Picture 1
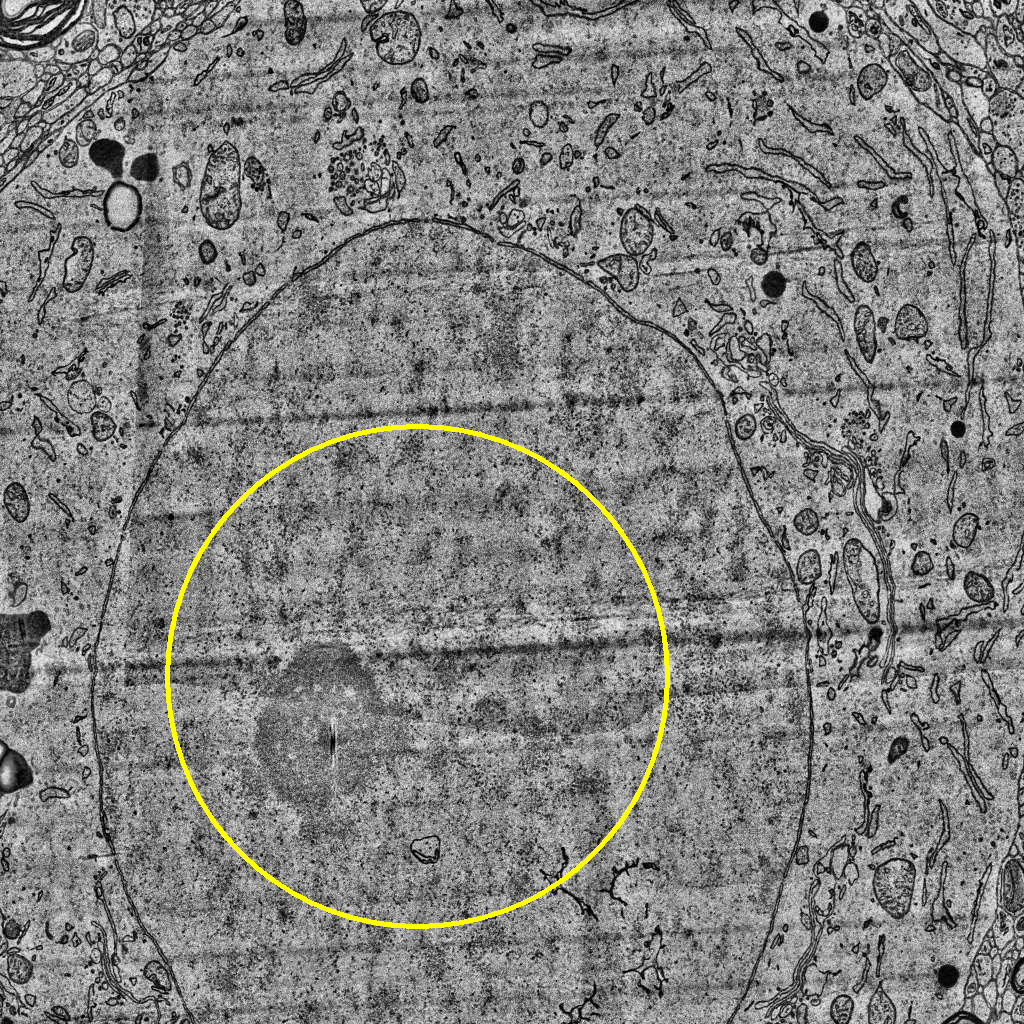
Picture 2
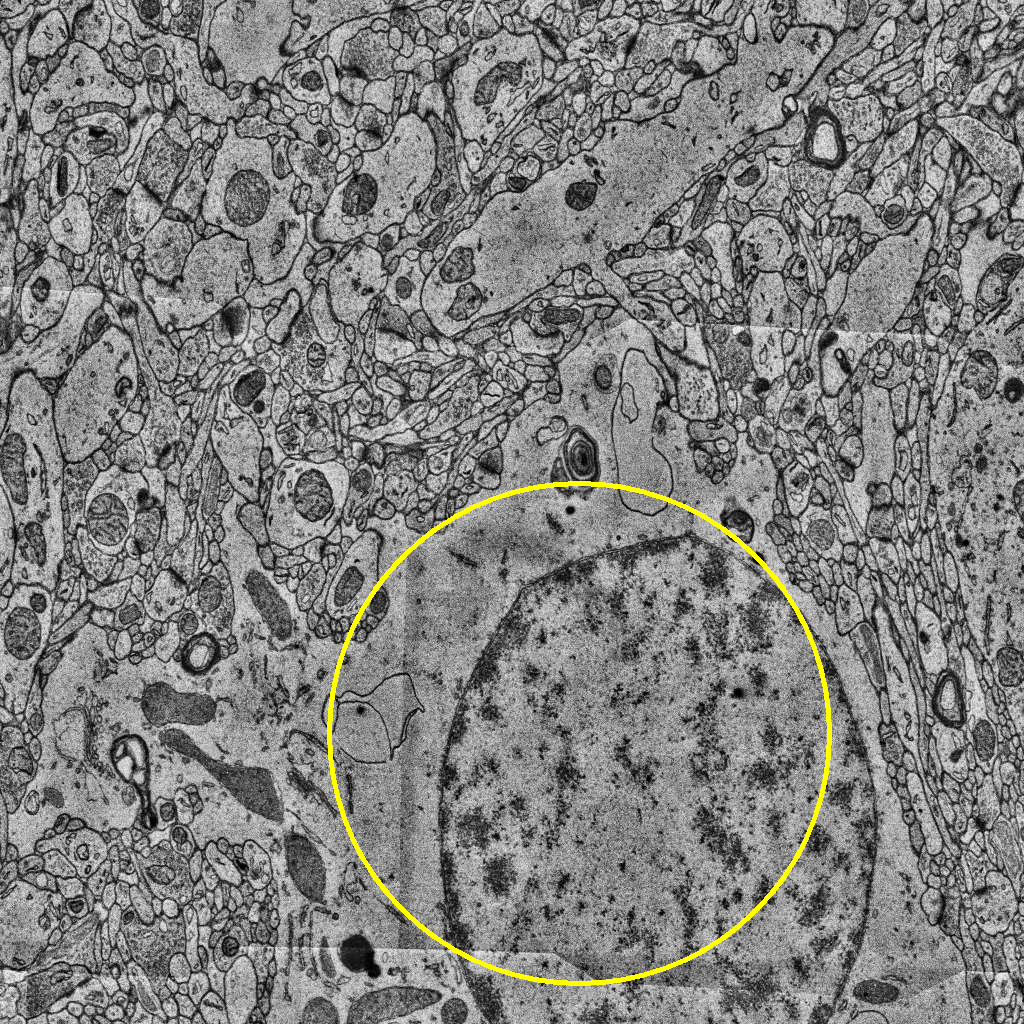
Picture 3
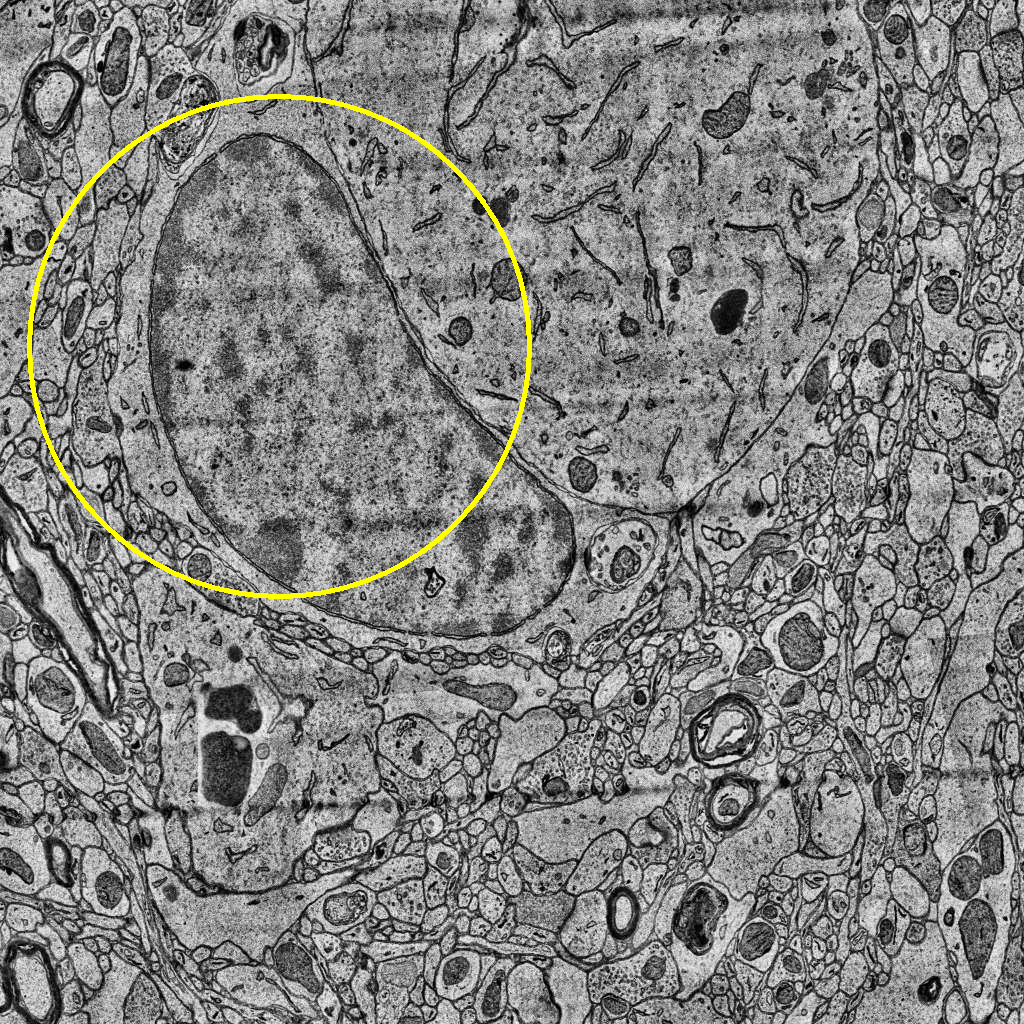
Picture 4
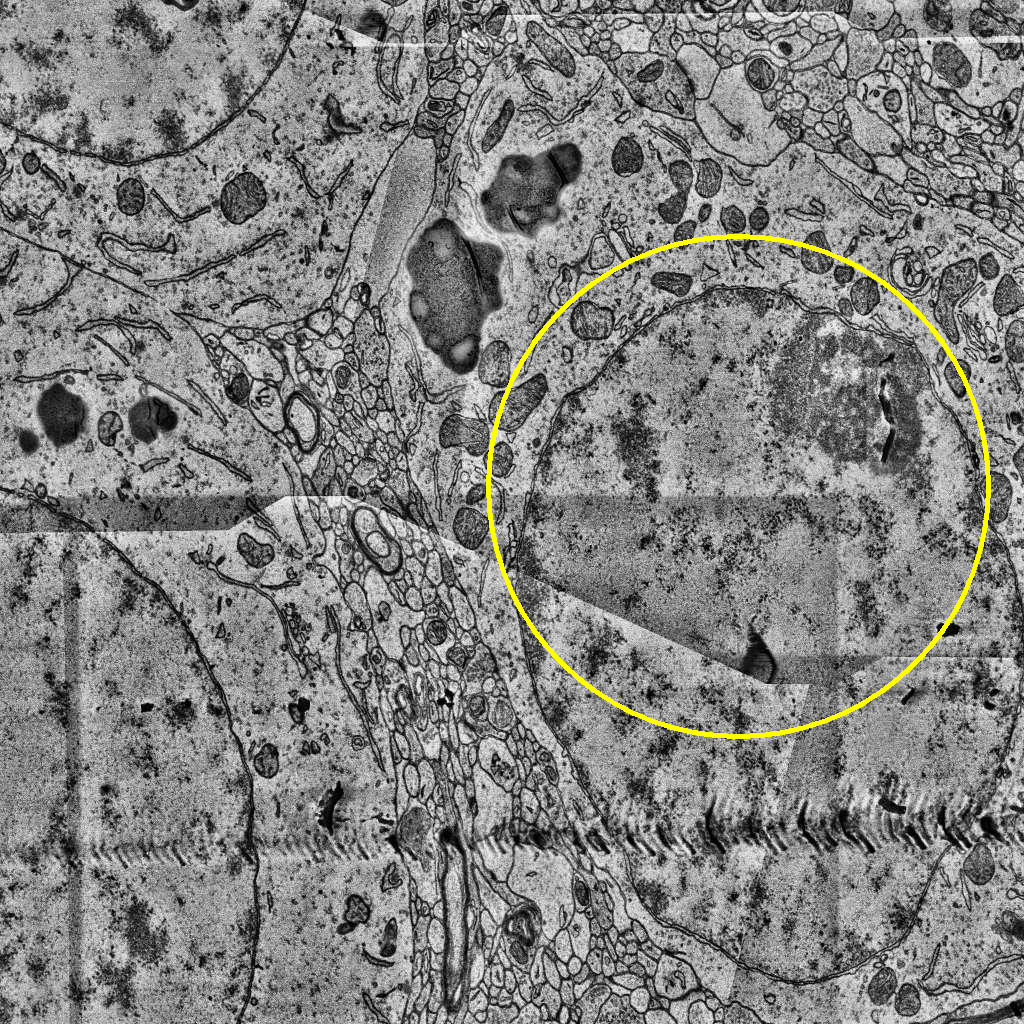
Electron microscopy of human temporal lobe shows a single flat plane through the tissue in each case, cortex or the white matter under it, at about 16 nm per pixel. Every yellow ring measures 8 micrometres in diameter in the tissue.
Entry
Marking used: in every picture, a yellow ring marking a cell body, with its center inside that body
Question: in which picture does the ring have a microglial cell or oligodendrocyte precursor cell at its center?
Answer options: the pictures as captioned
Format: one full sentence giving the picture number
Picture 3 is where the ring's center falls on the requested cell.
